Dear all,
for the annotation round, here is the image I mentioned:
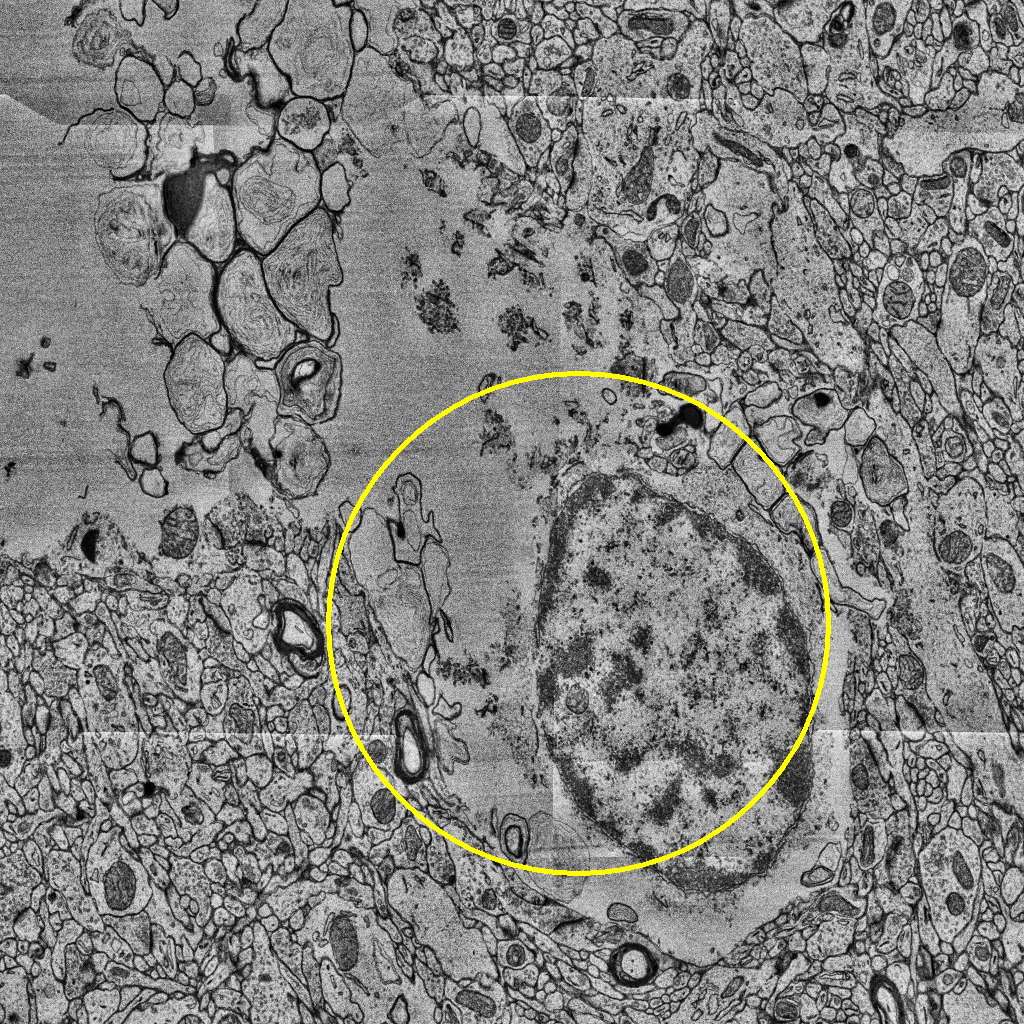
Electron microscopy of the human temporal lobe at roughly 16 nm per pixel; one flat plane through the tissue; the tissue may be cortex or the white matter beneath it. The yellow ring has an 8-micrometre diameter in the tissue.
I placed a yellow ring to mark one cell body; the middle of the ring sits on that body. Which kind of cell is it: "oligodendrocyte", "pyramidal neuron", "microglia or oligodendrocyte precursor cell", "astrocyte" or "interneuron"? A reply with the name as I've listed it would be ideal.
microglia or oligodendrocyte precursor cell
